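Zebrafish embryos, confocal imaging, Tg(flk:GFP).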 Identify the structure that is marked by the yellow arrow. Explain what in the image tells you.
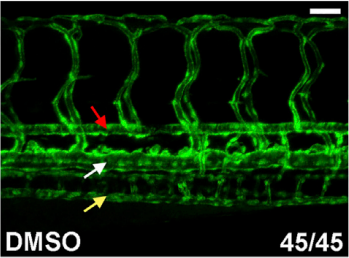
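The arrow points to a thin vessel at the lower edge of the vascular network. It lies ventral to the other horizontal vessels.
Hence: subintestinal vein.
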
